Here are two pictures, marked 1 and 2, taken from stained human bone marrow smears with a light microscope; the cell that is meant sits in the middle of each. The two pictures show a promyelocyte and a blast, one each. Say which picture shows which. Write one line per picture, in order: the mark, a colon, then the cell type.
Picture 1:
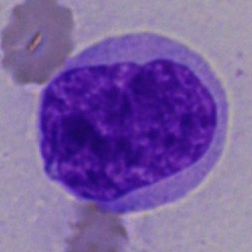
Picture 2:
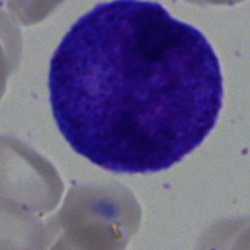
1: blast
2: promyelocyte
